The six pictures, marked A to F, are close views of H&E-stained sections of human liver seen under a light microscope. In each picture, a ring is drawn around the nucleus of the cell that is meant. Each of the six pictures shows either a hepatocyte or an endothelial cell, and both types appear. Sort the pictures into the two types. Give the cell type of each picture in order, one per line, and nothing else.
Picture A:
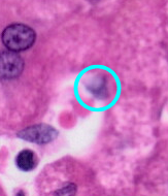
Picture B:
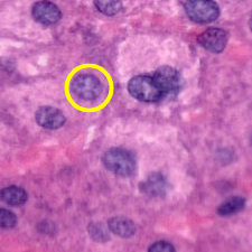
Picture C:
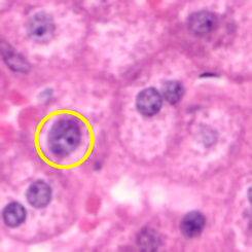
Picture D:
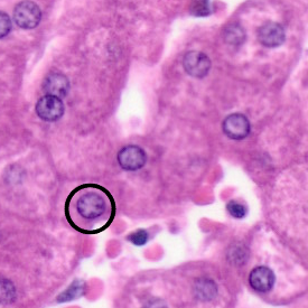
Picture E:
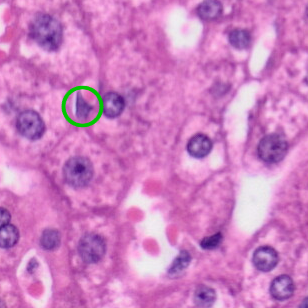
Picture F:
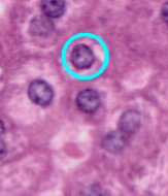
endothelial cell
hepatocyte
hepatocyte
hepatocyte
endothelial cell
hepatocyte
